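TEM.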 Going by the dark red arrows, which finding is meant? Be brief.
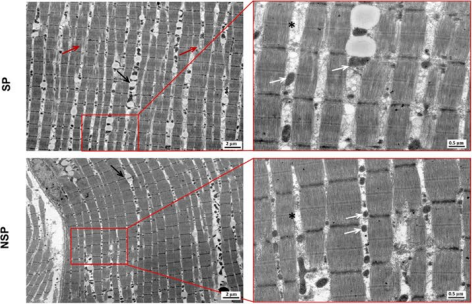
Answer: Myofilaments and sarcomeres became ruptured, fused, or disappeared.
